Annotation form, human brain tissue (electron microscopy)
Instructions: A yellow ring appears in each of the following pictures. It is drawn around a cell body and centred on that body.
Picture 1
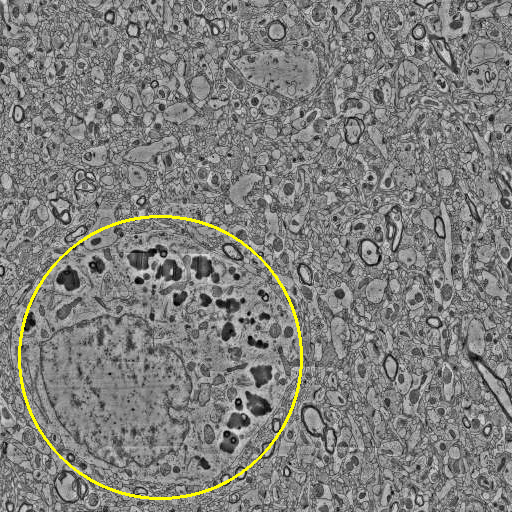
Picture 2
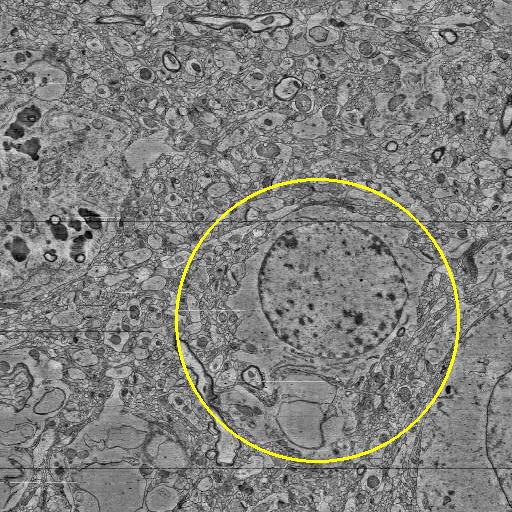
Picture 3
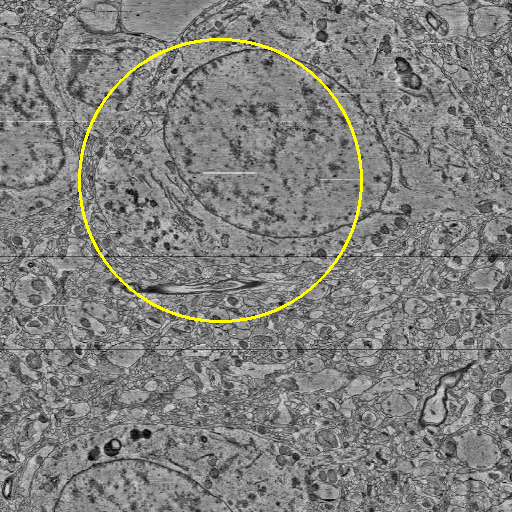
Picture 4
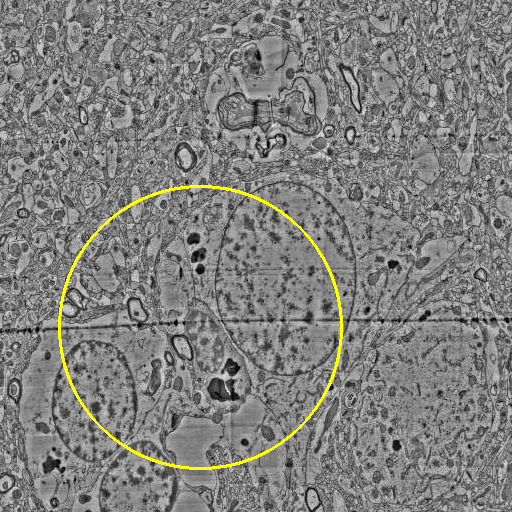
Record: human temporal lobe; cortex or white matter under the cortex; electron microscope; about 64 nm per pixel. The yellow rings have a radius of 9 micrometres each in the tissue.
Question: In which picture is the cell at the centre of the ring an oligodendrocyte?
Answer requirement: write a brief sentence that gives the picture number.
The cell at the centre of the ring in Picture 4 is the one asked for.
